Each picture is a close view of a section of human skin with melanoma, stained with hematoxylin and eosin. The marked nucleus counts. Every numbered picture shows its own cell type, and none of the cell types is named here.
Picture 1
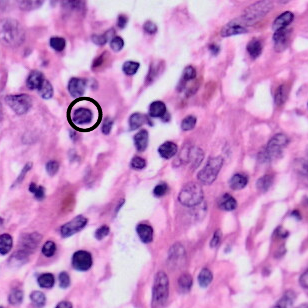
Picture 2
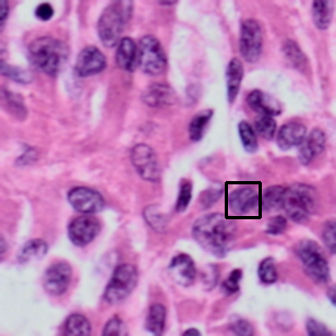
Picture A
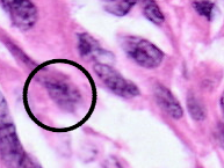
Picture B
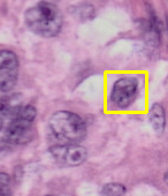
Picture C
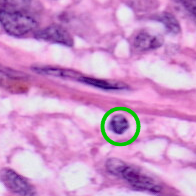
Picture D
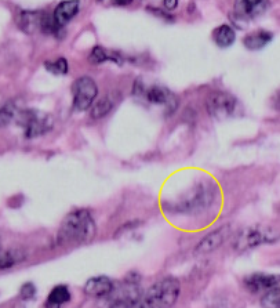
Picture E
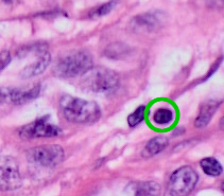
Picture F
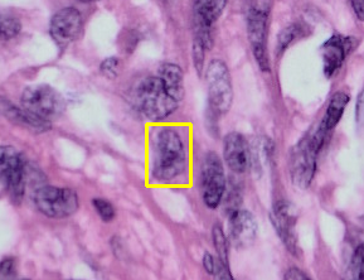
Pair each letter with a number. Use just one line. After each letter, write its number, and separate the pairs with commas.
A 2, B 2, C 1, D 2, E 1, F 2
